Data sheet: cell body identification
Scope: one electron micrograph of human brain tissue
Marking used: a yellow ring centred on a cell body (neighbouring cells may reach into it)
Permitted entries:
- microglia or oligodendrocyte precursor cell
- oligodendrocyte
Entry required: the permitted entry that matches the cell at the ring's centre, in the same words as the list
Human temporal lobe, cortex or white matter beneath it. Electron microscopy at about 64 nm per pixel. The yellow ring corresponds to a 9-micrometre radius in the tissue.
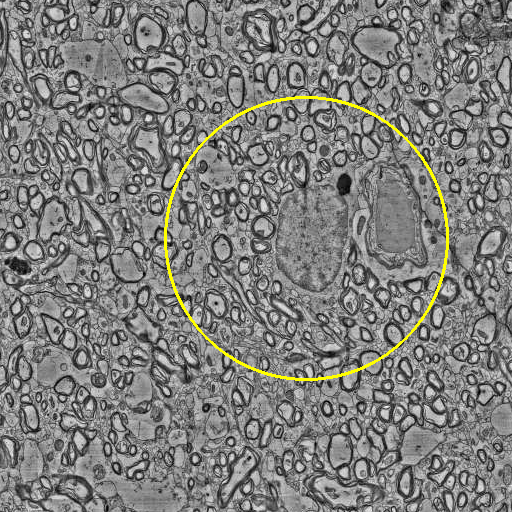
oligodendrocyte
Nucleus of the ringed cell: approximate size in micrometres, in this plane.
The nucleus comes to roughly 7 by 5 micrometres in this plane.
